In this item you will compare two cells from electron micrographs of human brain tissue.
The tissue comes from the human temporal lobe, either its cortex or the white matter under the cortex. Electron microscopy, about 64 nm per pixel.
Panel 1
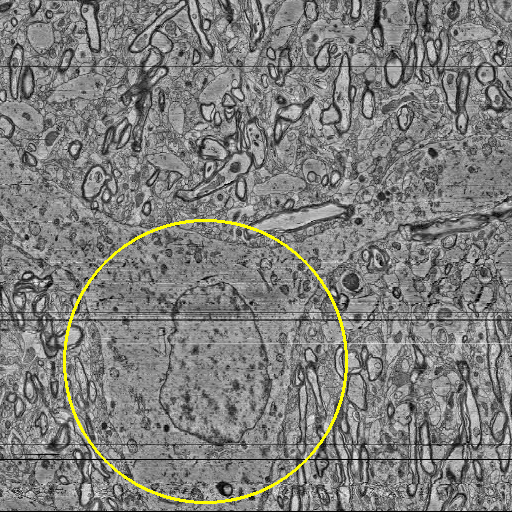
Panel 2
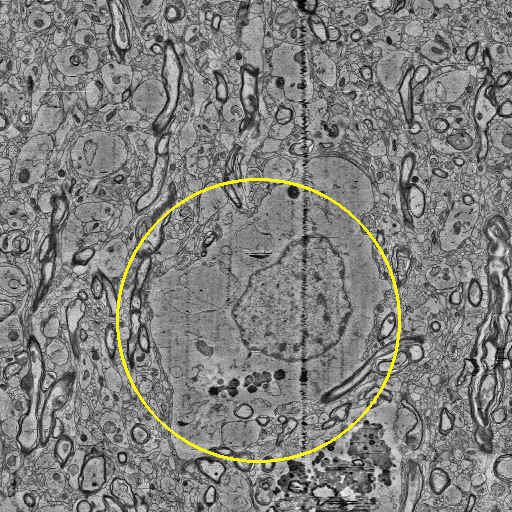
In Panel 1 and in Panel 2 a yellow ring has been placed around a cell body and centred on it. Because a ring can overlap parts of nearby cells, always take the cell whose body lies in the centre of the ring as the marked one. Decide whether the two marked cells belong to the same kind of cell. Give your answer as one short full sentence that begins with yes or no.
No, the two marked cells belong to two kinds of cell.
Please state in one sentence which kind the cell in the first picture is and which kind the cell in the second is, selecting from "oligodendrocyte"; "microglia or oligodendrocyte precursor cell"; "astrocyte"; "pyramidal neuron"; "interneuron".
The first ringed cell is a pyramidal neuron, the second ringed cell an astrocyte.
